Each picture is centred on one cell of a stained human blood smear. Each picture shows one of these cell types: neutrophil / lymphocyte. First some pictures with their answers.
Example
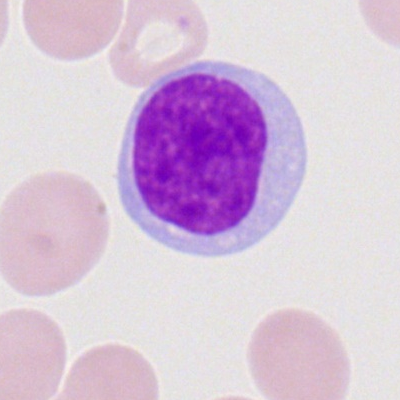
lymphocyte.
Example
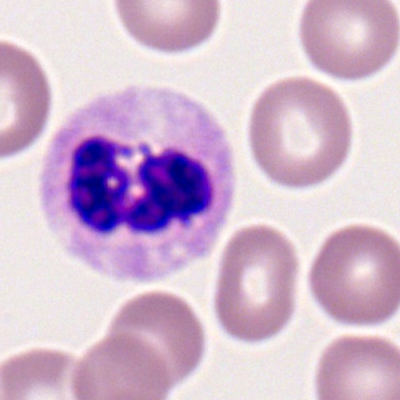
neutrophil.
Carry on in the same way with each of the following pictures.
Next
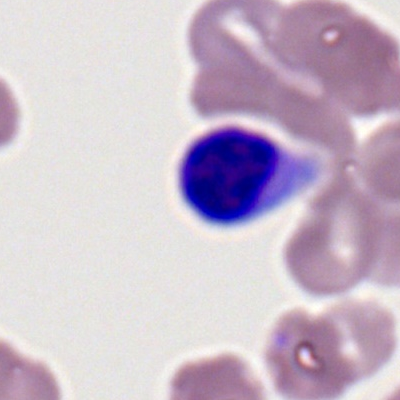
lymphocyte.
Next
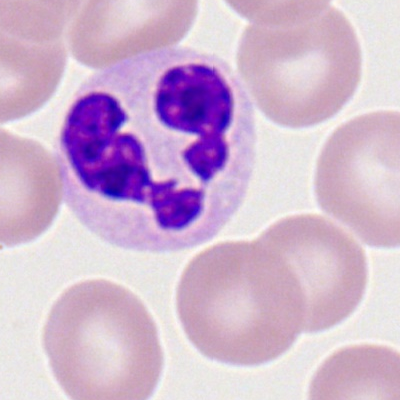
neutrophil.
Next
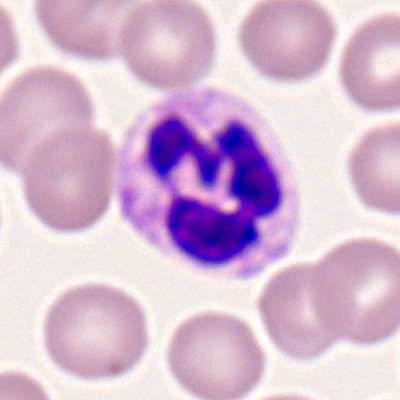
neutrophil.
